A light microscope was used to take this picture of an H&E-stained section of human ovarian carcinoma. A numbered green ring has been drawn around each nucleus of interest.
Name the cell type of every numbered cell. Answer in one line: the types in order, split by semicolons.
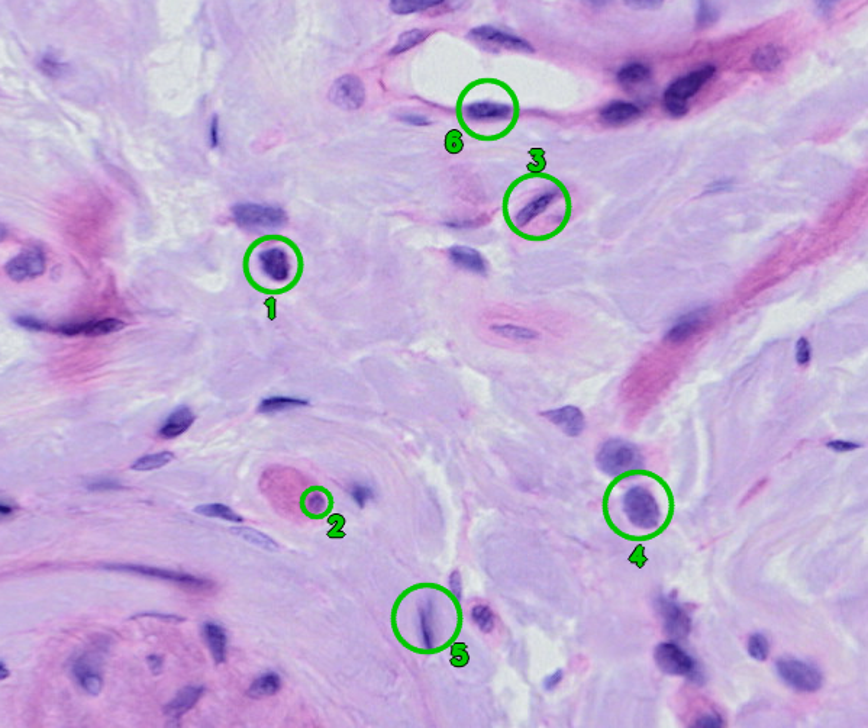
lymphocyte; smooth muscle cell; endothelial cell; fibroblast; fibroblast; endothelial cell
